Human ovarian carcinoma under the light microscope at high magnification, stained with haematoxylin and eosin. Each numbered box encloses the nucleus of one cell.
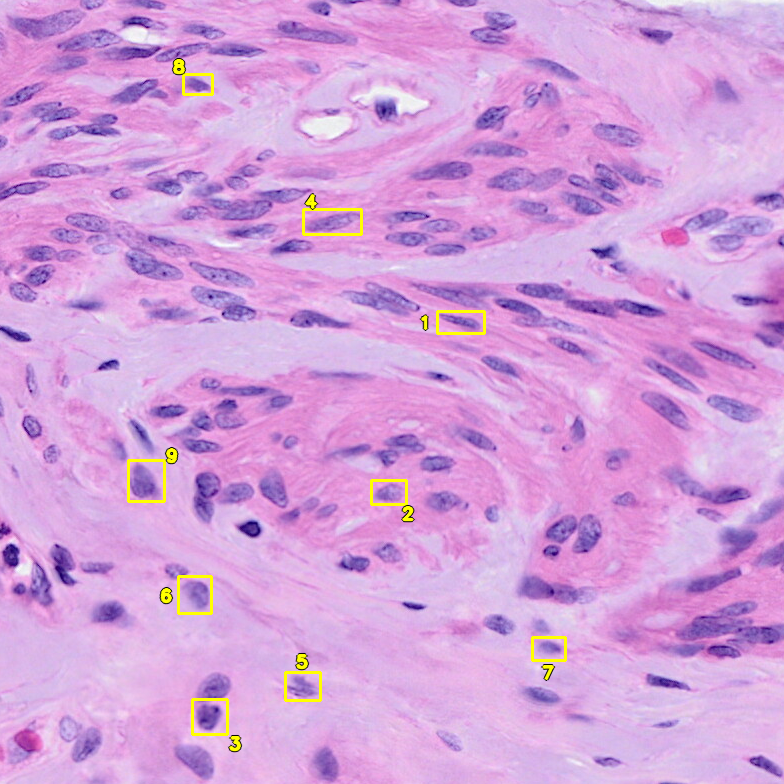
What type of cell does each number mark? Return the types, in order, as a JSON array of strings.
["smooth muscle cell", "smooth muscle cell", "lymphocyte", "smooth muscle cell", "fibroblast", "fibroblast", "smooth muscle cell", "smooth muscle cell", "fibroblast"]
